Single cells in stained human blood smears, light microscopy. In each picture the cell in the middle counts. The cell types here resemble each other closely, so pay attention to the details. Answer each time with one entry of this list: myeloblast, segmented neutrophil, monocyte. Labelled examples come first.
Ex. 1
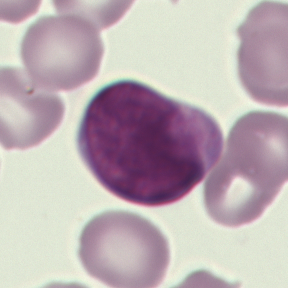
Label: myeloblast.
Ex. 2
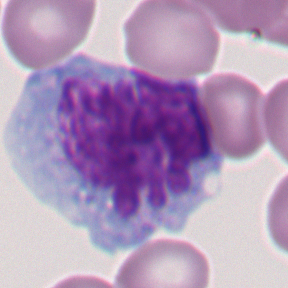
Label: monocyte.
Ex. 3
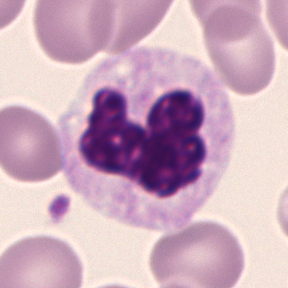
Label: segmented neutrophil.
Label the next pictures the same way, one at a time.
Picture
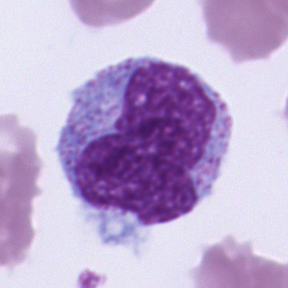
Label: monocyte.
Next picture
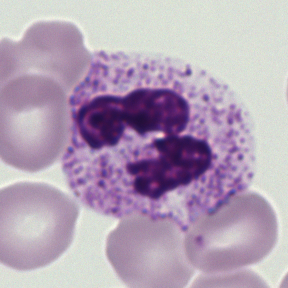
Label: segmented neutrophil.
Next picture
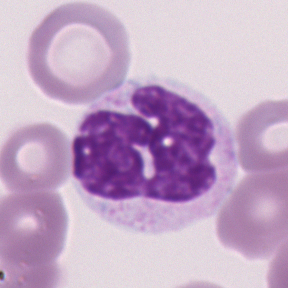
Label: segmented neutrophil.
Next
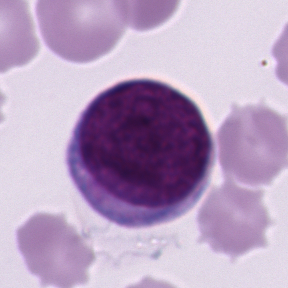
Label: myeloblast.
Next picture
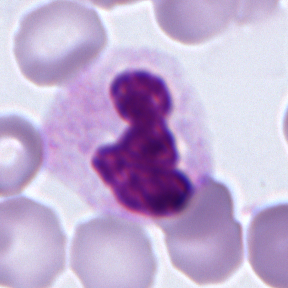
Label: segmented neutrophil.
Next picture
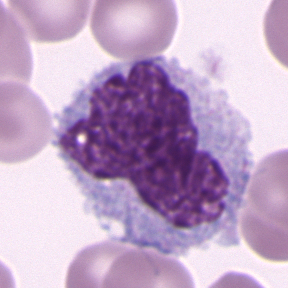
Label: monocyte.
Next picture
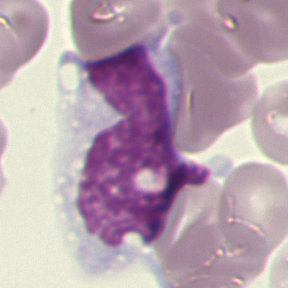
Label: monocyte.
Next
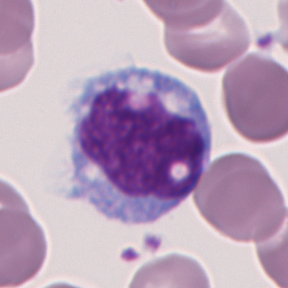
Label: monocyte.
